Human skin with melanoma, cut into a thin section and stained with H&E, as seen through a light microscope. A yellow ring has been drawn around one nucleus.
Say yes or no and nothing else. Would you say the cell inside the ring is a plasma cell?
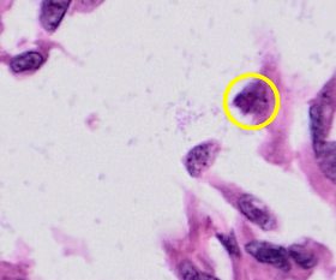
no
